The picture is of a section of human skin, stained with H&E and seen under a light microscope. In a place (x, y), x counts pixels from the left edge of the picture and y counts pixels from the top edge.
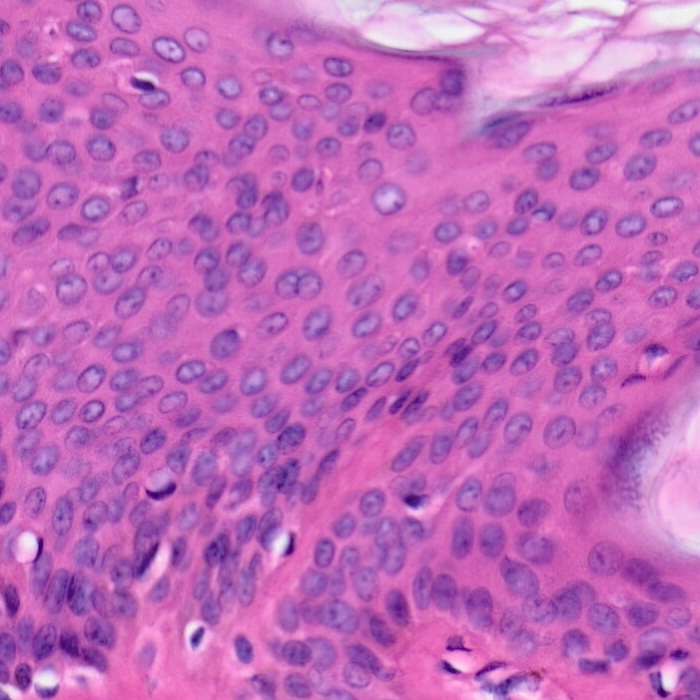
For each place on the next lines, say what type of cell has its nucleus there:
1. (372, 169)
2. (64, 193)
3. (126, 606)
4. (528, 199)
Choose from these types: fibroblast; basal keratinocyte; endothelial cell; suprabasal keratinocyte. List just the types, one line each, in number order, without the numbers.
suprabasal keratinocyte
suprabasal keratinocyte
basal keratinocyte
suprabasal keratinocyte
